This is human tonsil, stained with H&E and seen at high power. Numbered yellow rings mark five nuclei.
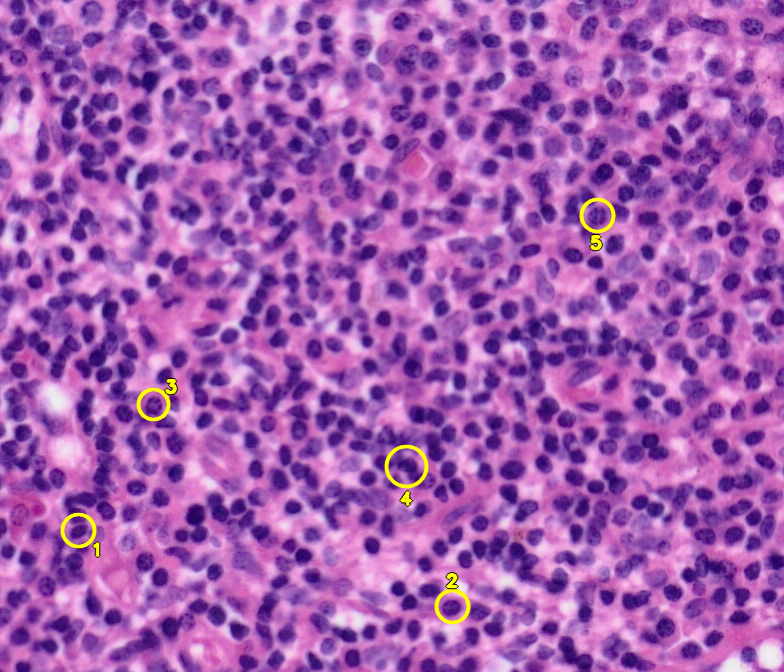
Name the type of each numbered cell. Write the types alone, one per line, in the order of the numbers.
small lymphocyte
plasma cell
plasma cell
small lymphocyte
plasma cell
